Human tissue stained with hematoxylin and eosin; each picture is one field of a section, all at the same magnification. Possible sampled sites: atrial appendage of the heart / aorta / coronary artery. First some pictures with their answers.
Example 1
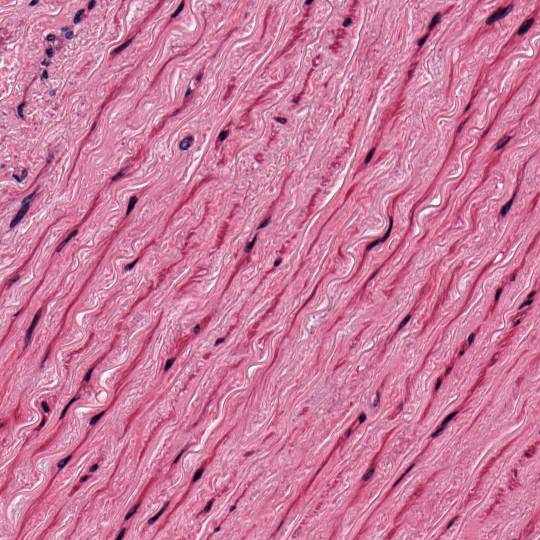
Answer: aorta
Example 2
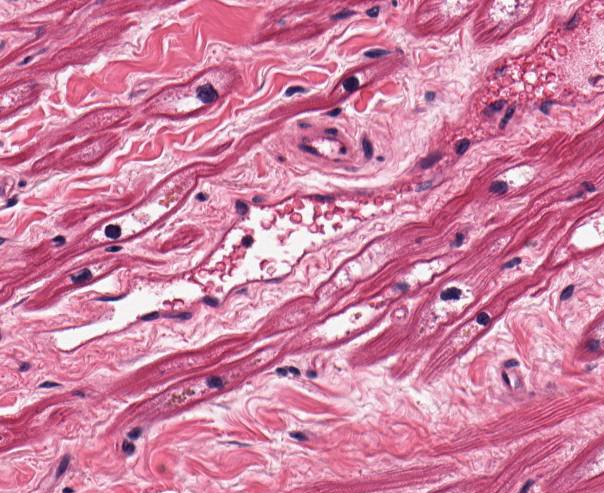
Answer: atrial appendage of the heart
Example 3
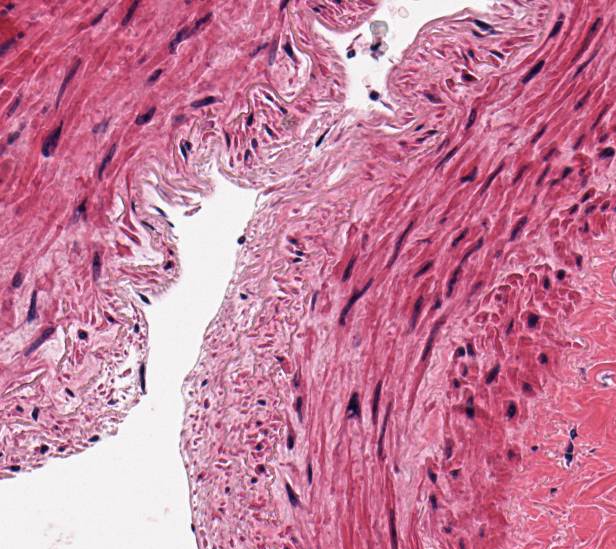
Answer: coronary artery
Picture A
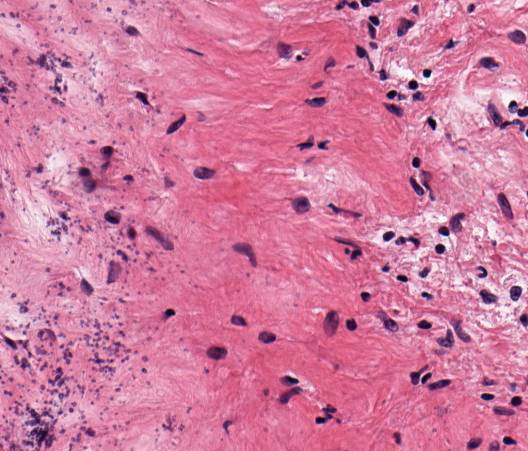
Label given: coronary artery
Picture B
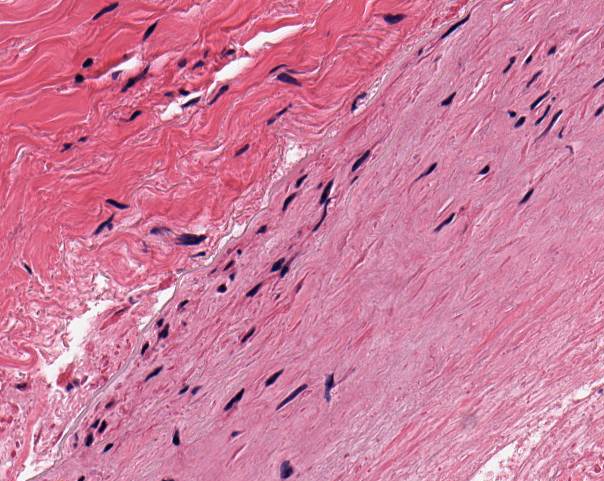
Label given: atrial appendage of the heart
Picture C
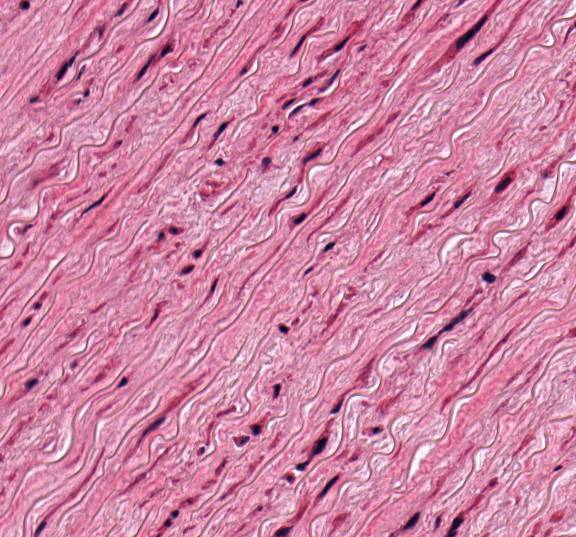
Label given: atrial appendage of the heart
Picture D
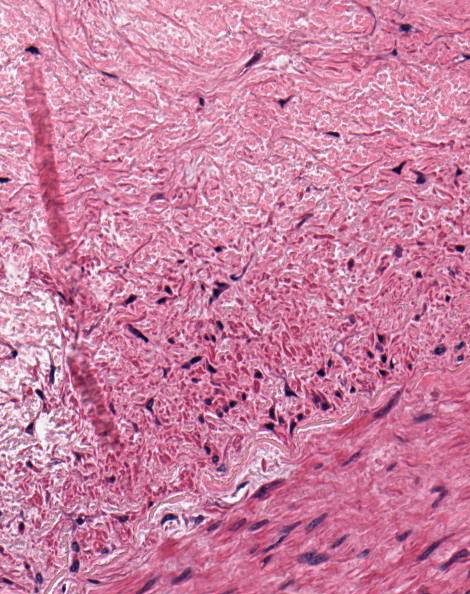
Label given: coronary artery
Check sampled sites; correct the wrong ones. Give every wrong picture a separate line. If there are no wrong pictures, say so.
B is labelled atrial appendage of the heart; correct label: coronary artery
C is labelled atrial appendage of the heart; correct label: aorta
